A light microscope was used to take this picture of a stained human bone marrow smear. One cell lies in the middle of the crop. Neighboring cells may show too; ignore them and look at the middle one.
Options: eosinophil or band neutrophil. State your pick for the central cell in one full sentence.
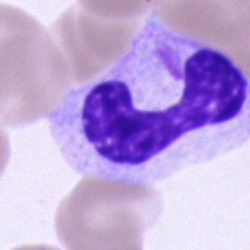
The single cell at the center of the crop is a band neutrophil.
